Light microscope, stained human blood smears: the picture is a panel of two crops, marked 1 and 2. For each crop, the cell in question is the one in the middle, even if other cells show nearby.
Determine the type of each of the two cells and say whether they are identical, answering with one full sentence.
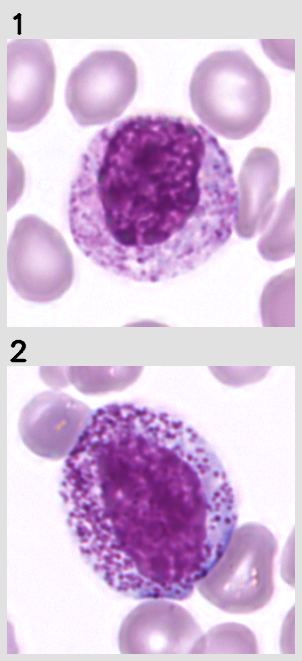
No, a metamyelocyte is centred in crop 1, and a myelocyte is centred in crop 2.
